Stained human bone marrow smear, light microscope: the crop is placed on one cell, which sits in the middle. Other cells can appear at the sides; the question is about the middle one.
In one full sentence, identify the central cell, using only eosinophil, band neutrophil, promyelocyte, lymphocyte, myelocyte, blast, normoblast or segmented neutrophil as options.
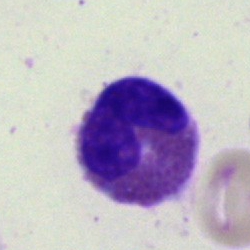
The cell under consideration, at the middle of the crop, is an eosinophil.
